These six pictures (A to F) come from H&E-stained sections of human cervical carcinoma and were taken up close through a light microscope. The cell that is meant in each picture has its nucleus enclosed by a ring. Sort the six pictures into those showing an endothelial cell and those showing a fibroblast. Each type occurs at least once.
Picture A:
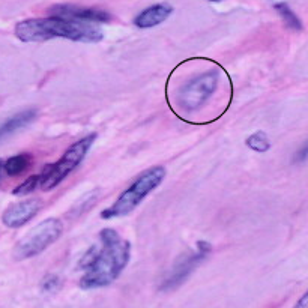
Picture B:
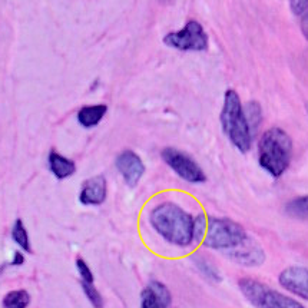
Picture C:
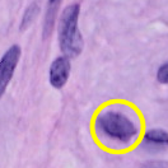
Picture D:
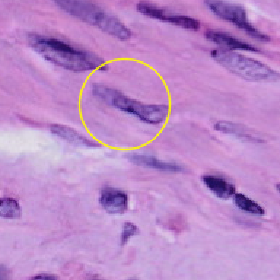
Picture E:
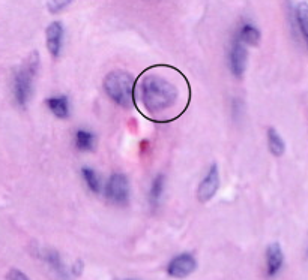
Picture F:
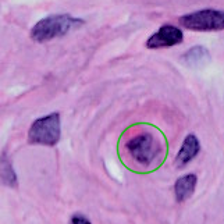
A: endothelial cell
B: endothelial cell
C: fibroblast
D: fibroblast
E: endothelial cell
F: endothelial cell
